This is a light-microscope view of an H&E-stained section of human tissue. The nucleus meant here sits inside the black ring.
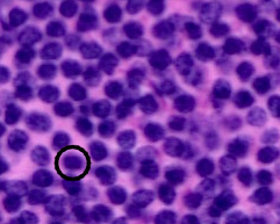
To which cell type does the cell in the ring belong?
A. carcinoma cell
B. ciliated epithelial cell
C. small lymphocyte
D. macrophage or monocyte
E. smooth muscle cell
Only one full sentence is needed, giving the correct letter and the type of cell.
Option C matches the cell in the ring, which is a small lymphocyte.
